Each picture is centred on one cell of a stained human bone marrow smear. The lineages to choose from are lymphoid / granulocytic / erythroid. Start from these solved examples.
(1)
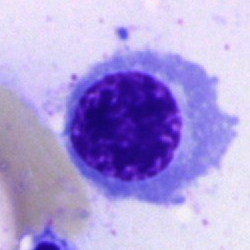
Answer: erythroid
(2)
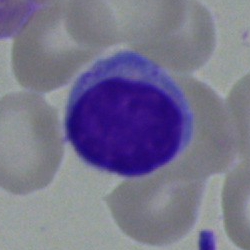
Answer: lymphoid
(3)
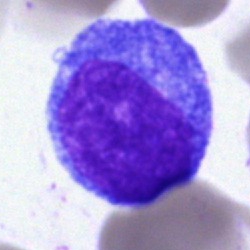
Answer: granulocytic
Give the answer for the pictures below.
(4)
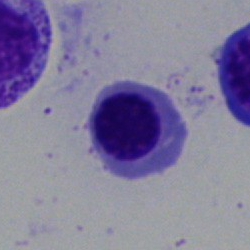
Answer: erythroid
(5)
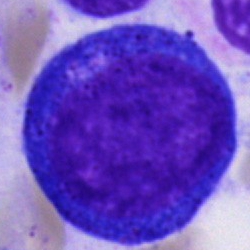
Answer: erythroid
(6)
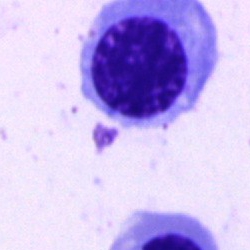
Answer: erythroid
